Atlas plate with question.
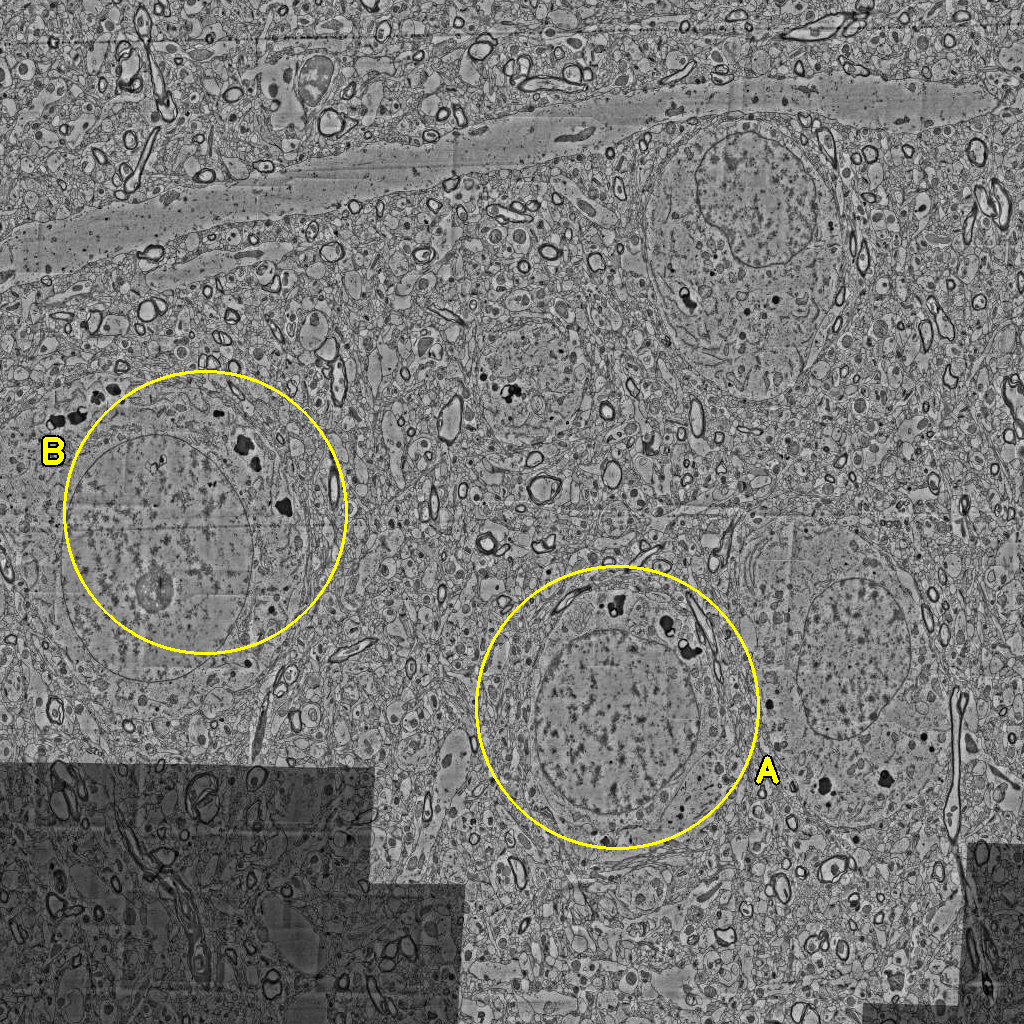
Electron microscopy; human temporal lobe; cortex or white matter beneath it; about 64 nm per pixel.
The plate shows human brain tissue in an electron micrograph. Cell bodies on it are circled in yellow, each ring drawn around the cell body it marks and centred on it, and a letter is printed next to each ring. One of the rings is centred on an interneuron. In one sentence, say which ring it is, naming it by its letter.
It is ring A.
